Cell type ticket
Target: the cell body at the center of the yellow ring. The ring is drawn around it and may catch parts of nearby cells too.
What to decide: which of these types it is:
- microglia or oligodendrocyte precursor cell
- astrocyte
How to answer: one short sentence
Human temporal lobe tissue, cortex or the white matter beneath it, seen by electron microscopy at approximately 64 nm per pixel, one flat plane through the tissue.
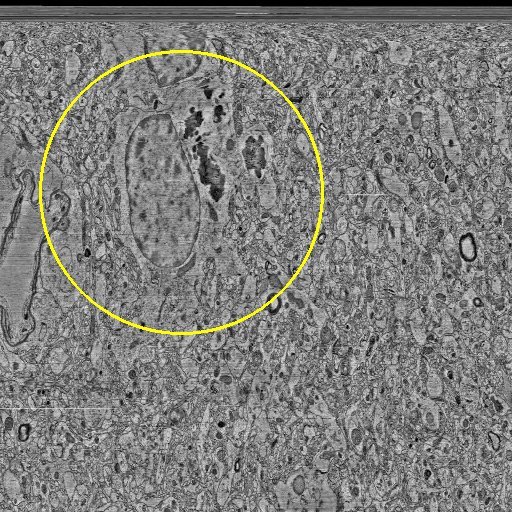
The cell at the center of the ring is an astrocyte.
